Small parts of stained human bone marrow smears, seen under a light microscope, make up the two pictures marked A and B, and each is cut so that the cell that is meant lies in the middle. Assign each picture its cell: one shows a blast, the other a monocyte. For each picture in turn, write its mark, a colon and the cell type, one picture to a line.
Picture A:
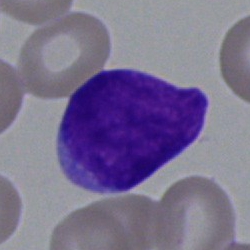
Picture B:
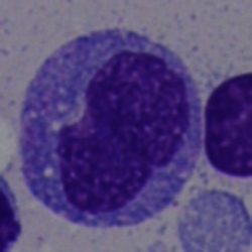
A: blast
B: monocyte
